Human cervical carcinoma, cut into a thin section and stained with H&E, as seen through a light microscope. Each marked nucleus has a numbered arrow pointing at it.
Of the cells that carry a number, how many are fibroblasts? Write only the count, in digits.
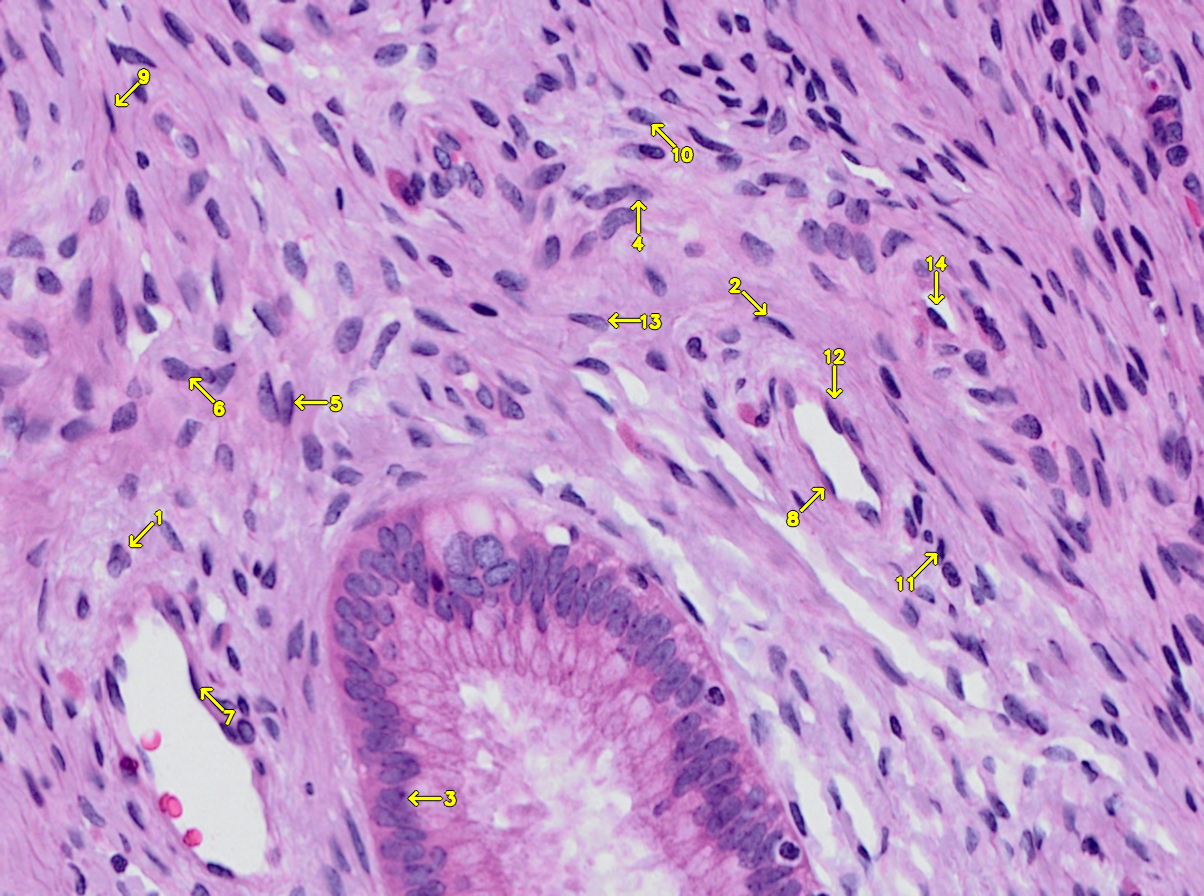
8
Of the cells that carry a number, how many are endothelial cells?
4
